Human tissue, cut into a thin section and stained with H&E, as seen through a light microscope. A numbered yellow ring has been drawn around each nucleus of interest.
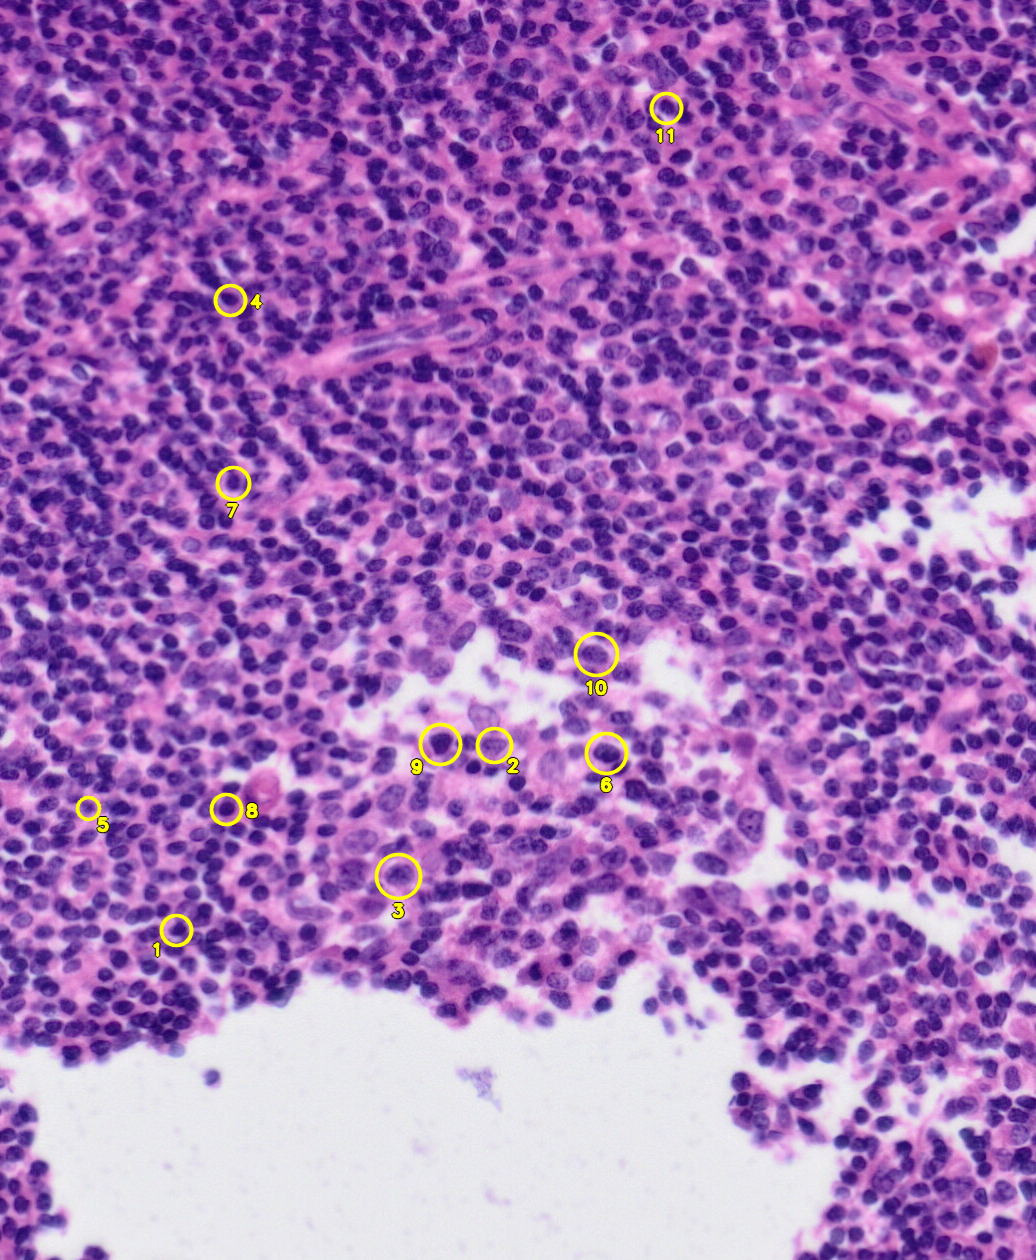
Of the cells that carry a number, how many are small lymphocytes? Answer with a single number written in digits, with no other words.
6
